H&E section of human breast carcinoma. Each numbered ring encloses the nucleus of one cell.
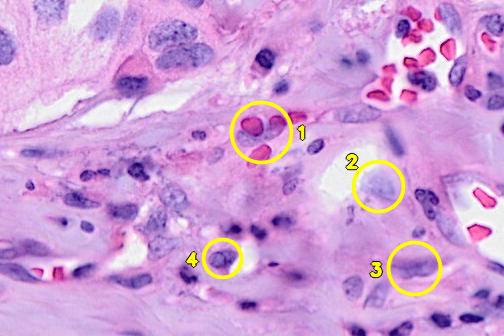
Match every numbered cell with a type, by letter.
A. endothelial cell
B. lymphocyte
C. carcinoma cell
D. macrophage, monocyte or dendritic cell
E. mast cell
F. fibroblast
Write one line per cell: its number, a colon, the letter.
1: A
2: F
3: A
4: E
